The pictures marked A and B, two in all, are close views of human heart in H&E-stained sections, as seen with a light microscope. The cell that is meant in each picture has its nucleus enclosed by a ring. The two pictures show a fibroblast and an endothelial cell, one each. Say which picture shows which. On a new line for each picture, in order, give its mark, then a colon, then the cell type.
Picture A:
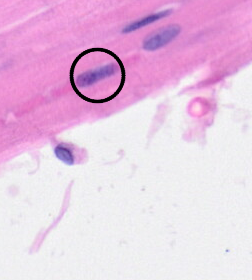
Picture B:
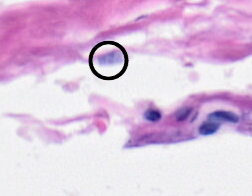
A: endothelial cell
B: fibroblast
